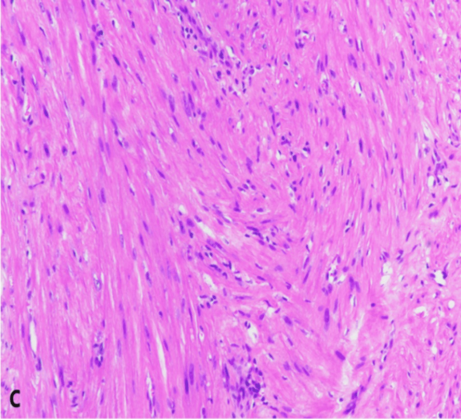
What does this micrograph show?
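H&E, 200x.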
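This is a spindle cell tissue made of smooth muscle cells seen at higher magnification. The cells are long and tapering and lie parallel to one another in bundles that sweep in gently curving directions. Their nuclei are elongated with blunt, rounded ends and stain purple-blue, lying along the long axis of each cell. The cytoplasm is plentiful and bright pink, forming most of the field between the nuclei. Small clusters of darker, rounder nuclei lie between the bundles here and there.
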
